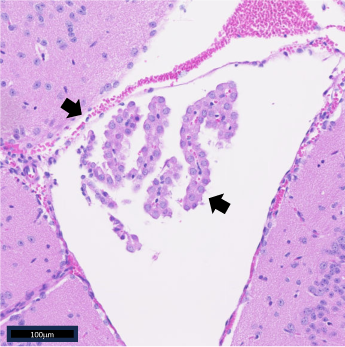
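Choroid plexus fronds project into a ventricle bordered on both sides by pink brain tissue with scattered nuclei. Each frond is covered by a single layer of cuboidal epithelial cells with round purple nuclei and pink cytoplasm around a thin core. A vessel packed with red blood cells runs along the upper edge of the ventricle.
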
